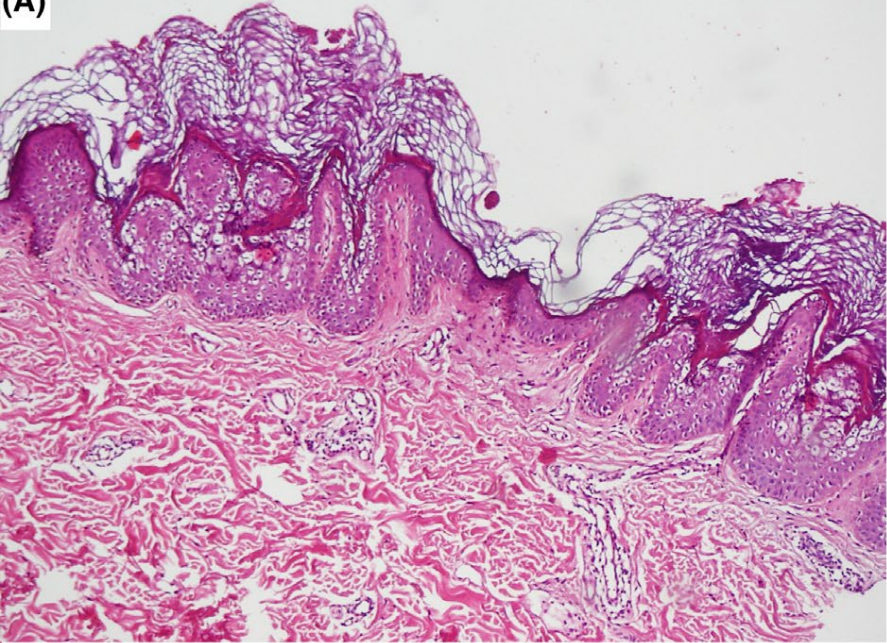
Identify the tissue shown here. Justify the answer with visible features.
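A stratified squamous epithelial layer sits on top of pink fibrous connective tissue. The epithelium is capped by a thick layer of basket-weave keratin.
Conclusion: epidermis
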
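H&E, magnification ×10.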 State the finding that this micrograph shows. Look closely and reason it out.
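A thick, loose, net-like keratin layer covers the epidermis. No nuclei are seen within the keratin layer. The answer: orthokeratotic hyperkeratosis.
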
